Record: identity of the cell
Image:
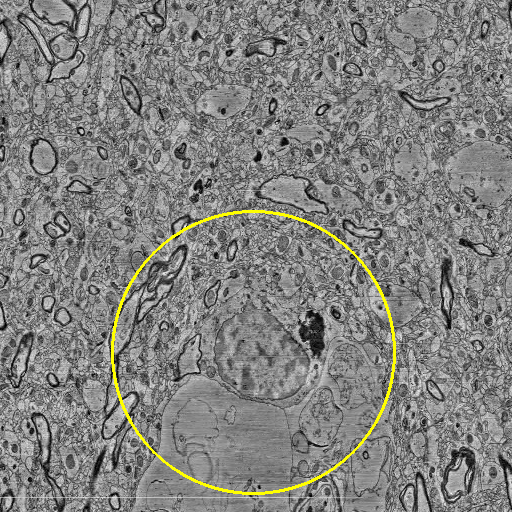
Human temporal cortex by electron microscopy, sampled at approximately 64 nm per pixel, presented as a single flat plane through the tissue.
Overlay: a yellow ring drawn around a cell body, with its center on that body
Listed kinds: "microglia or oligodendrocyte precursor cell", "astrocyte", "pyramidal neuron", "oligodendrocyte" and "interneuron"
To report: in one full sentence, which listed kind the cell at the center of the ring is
In the image, the cell body at the ring's center belongs to an oligodendrocyte.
